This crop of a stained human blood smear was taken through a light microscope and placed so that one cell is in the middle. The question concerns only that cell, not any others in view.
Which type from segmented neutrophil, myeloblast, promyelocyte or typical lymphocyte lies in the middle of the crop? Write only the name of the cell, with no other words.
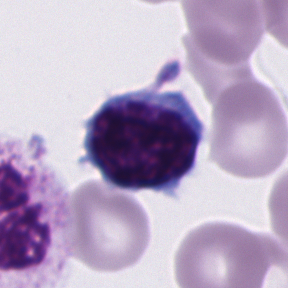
typical lymphocyte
